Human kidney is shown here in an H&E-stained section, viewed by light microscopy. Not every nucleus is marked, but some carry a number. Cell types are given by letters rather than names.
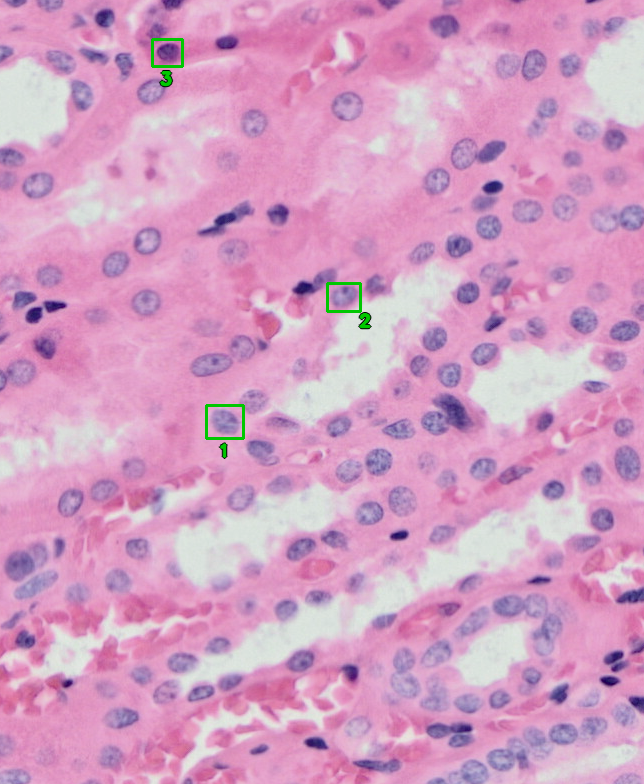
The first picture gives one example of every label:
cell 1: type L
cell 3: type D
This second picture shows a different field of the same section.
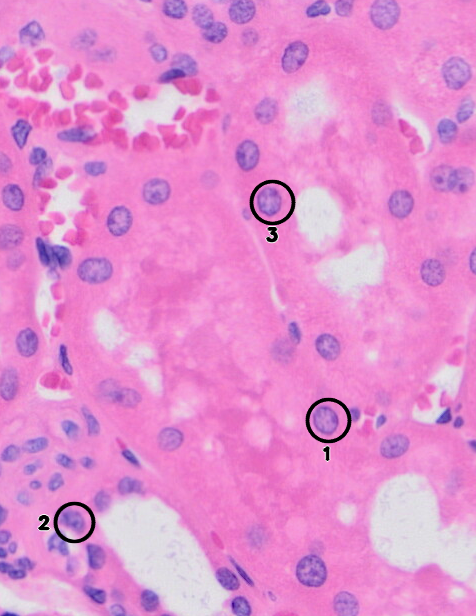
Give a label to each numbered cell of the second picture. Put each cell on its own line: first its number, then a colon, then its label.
1: type D
2: type L
3: type D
